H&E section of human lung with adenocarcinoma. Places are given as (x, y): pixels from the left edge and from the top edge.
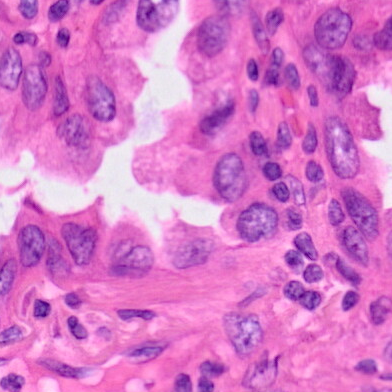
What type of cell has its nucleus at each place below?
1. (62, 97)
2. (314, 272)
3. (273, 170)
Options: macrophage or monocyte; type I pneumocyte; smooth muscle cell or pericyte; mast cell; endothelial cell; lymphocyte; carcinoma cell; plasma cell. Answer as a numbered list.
1. carcinoma cell
2. lymphocyte
3. lymphocyte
